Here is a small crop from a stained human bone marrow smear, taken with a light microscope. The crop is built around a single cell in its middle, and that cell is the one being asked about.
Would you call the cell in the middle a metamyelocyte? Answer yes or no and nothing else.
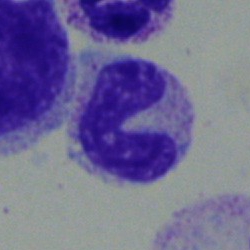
no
